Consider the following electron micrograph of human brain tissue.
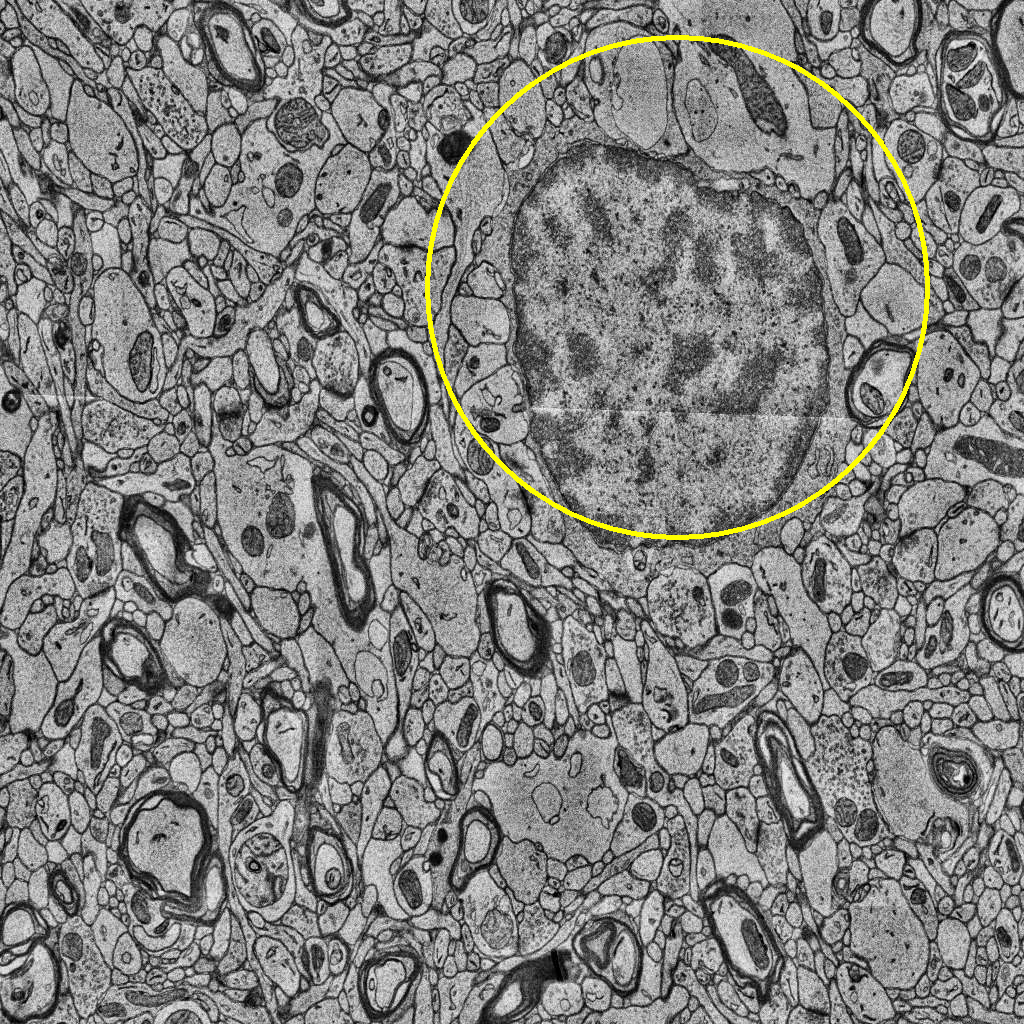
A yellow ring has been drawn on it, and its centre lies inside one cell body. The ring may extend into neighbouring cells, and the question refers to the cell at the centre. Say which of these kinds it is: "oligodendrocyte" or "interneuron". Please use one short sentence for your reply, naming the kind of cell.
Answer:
The centre of the ring falls on an oligodendrocyte.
